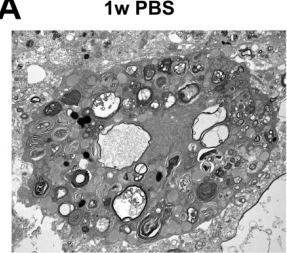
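This is a macrophage whose cytoplasm is crowded with phagocytic inclusions. Many membrane-bound vacuoles of varying size hold dark, whorled membranous debris, and a few larger pale vacuoles contain loose flocculent material, while smaller round droplets lie scattered among them.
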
